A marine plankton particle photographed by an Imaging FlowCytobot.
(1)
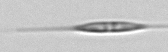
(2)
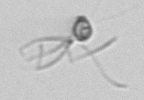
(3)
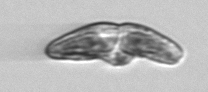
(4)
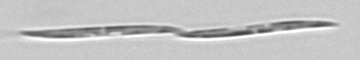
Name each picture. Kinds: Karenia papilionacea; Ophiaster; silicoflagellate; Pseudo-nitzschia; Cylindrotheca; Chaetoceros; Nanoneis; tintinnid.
Picture 1: Cylindrotheca
Picture 2: Ophiaster
Picture 3: Karenia papilionacea
Picture 4: Pseudo-nitzschia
